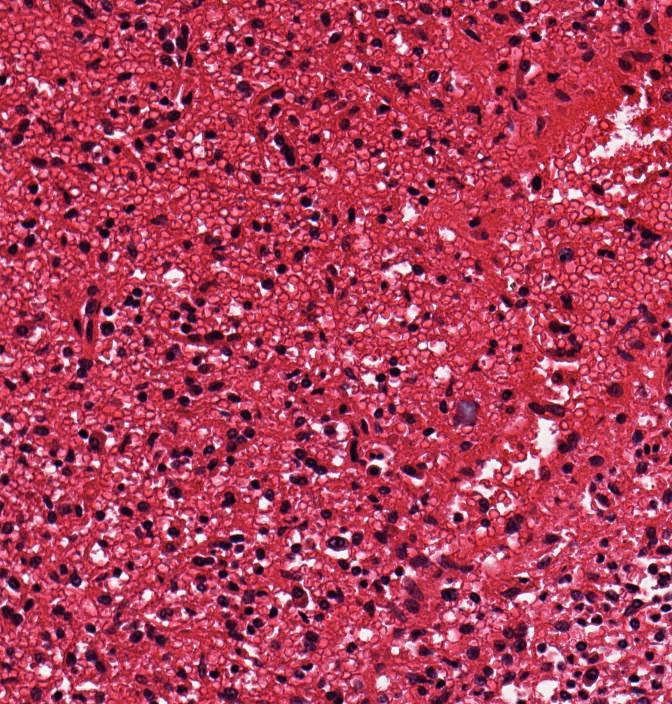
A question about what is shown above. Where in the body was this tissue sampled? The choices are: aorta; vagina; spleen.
spleen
